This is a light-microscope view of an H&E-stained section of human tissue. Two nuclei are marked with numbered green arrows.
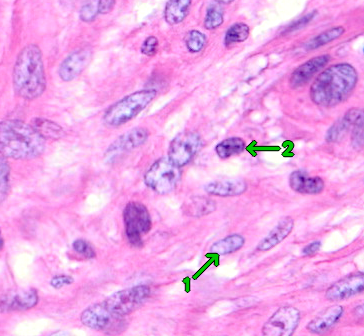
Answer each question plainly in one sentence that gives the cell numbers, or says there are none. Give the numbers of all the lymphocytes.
In short, cell 2 is a lymphocyte; the others are not.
